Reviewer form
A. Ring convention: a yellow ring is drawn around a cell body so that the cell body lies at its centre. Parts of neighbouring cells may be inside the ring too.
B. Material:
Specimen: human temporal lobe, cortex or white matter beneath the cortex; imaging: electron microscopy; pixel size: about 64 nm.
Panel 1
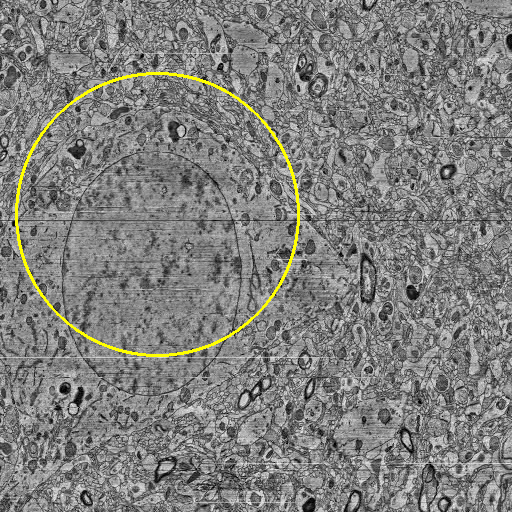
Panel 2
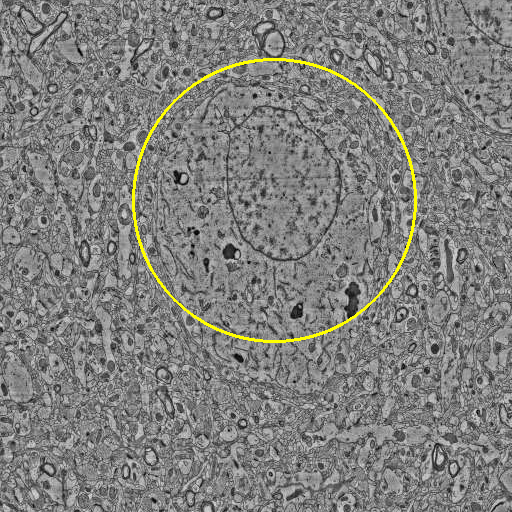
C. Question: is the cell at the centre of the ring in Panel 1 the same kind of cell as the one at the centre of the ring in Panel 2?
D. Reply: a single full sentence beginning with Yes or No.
Yes, the cells in Panel 1 and Panel 2 are the same kind of cell.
